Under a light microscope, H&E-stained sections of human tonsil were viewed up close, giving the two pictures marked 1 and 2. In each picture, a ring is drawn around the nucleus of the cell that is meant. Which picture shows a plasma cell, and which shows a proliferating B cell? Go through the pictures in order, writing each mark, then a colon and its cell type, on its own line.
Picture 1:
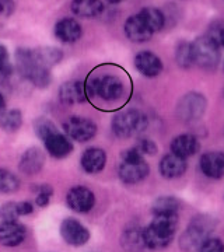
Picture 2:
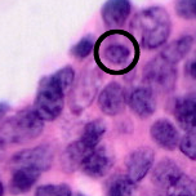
1: plasma cell
2: proliferating B cell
